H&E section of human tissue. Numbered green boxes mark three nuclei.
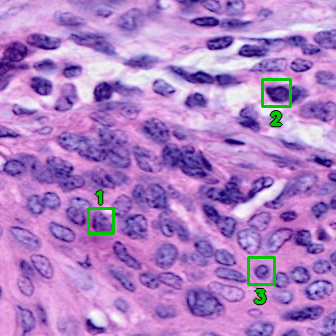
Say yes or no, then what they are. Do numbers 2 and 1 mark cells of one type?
No; cell 2 is a lymphocyte, and cell 1 is a squamous carcinoma cell.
